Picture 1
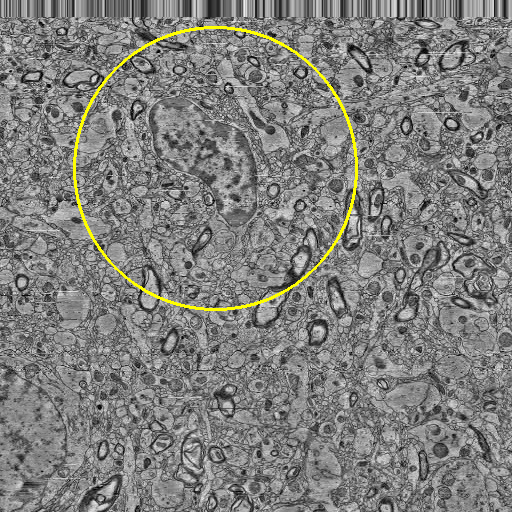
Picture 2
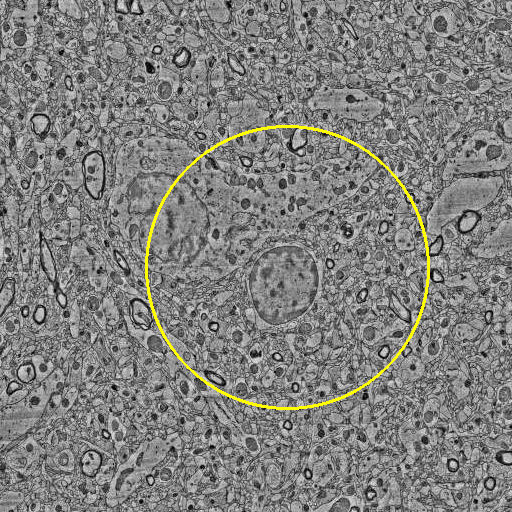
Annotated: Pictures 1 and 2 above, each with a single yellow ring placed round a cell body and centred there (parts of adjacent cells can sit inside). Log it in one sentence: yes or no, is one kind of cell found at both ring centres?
Yes, the ring centres of the two pictures hold cells of one kind.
